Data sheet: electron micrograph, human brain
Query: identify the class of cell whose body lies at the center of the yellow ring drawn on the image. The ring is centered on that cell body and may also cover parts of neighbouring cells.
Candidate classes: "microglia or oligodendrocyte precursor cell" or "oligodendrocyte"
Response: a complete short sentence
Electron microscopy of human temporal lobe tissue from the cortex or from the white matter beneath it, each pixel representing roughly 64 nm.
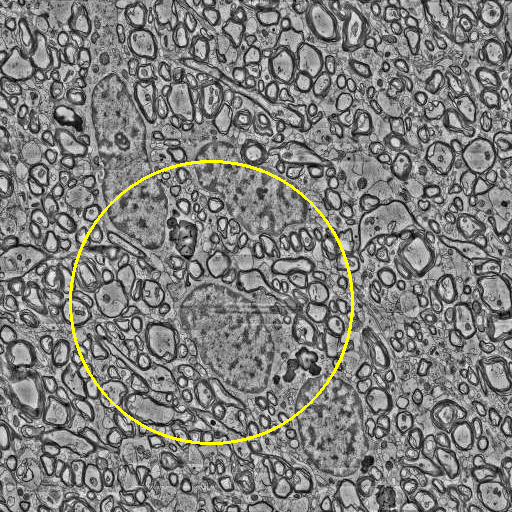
At the center of the ring lies an oligodendrocyte.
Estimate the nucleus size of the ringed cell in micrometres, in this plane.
Roughly 8 micrometres long and 5 micrometres wide; in this plane the nucleus is clearly longer than it is wide.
